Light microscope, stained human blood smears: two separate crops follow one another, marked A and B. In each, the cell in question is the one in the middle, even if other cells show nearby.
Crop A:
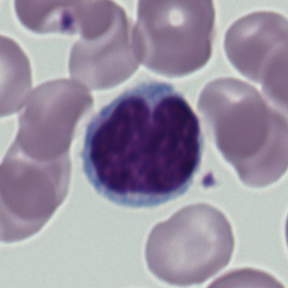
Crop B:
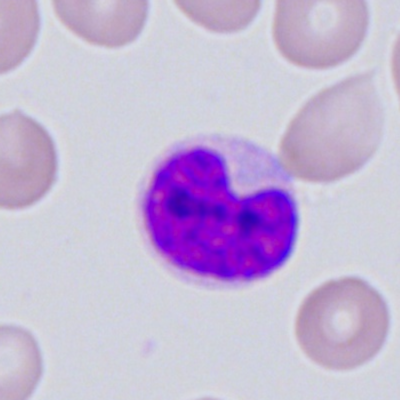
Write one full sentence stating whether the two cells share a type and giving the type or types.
Yes, both crops depict lymphocytes at the centre.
